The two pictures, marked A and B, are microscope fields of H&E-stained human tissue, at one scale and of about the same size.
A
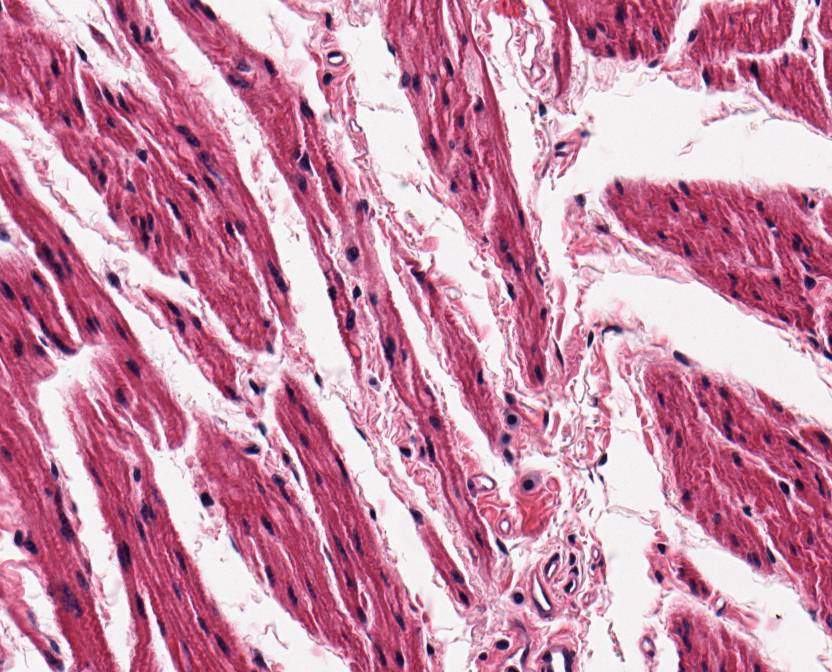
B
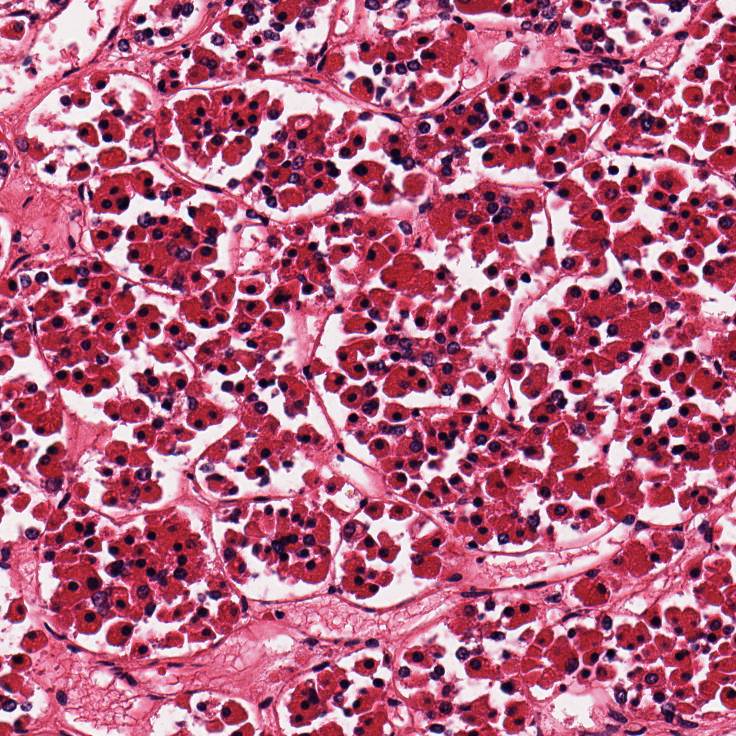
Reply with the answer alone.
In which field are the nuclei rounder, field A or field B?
B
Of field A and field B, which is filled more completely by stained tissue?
B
